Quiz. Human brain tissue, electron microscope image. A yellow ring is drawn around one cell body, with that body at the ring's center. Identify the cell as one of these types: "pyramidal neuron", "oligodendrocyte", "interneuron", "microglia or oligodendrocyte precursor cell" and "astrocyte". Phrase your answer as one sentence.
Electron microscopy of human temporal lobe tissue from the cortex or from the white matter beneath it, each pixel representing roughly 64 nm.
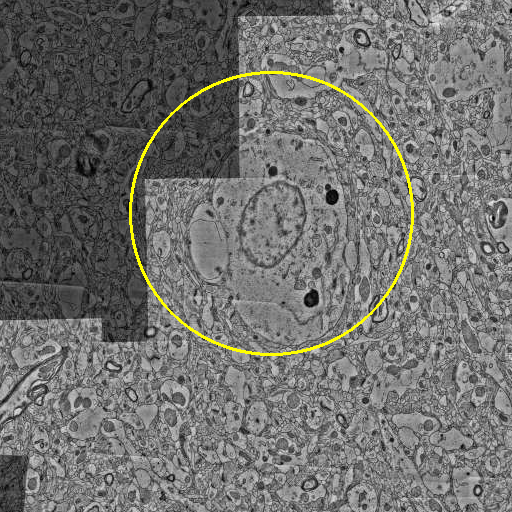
At the center of the ring sits a pyramidal neuron.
